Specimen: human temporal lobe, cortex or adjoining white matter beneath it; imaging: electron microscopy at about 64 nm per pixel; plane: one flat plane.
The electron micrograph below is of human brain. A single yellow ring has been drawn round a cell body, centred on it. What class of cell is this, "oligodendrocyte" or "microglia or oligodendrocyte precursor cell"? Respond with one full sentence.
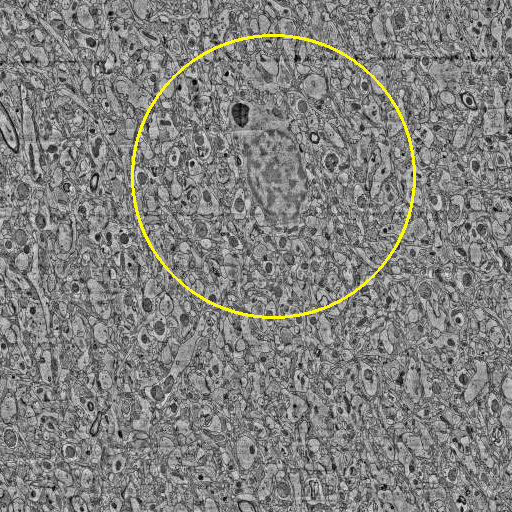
In the micrograph, the cell centred inside the yellow ring is an oligodendrocyte.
